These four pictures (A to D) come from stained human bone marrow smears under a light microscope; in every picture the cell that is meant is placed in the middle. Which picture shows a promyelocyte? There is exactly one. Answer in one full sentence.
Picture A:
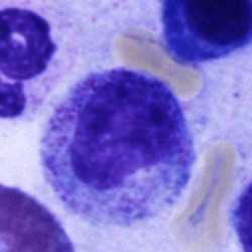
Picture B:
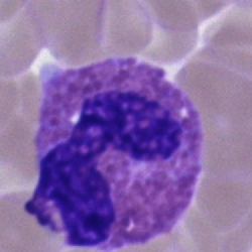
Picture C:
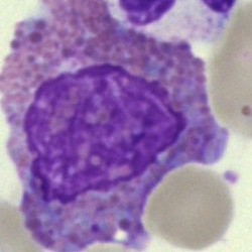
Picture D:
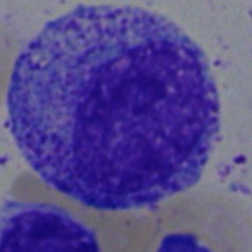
Picture D shows the promyelocyte.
